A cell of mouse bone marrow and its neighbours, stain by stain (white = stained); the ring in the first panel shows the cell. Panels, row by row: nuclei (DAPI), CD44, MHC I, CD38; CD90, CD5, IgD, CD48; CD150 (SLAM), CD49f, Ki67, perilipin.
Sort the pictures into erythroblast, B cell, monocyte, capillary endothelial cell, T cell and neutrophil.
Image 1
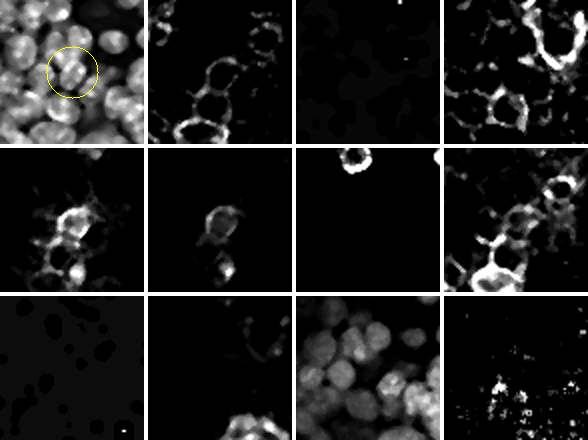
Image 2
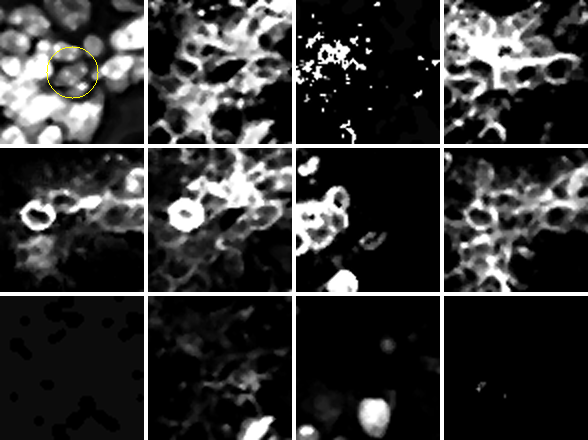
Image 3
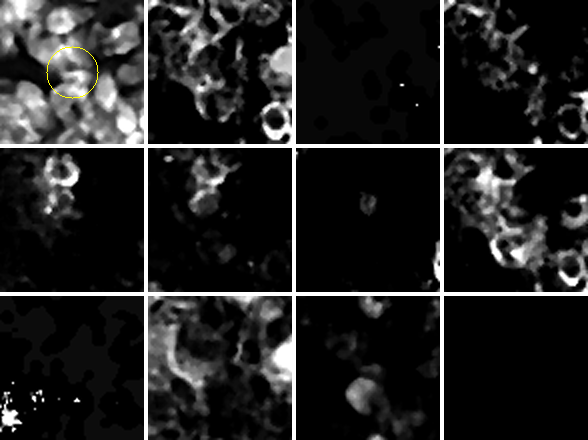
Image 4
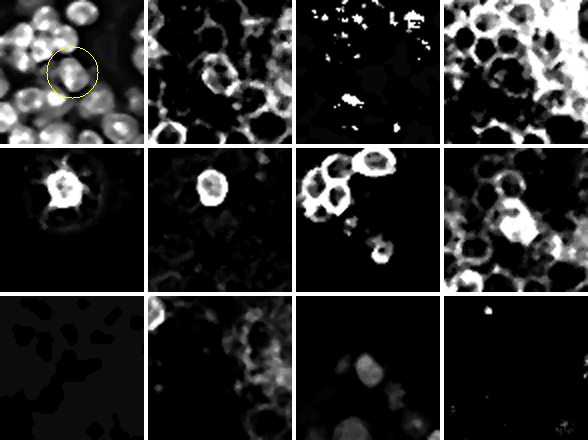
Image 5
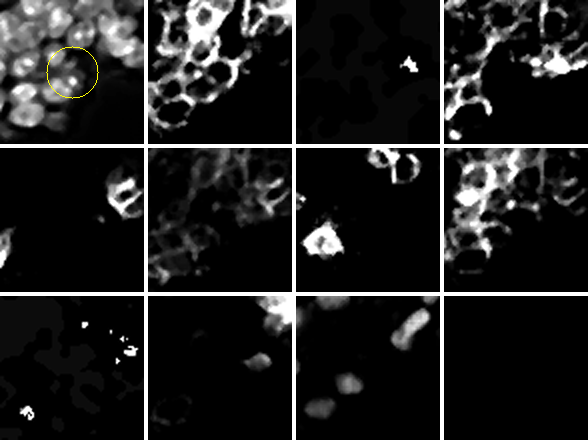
T cells: 1
Capillary endothelial cells: 2
Erythroblasts: 3
Monocytes: 4
Neutrophils: 5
